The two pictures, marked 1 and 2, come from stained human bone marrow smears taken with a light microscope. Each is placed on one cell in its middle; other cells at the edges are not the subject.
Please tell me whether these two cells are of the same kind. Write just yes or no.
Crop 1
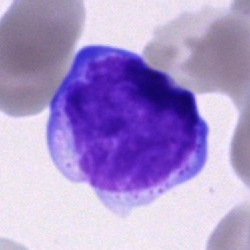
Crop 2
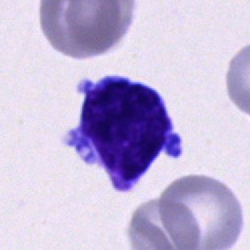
yes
